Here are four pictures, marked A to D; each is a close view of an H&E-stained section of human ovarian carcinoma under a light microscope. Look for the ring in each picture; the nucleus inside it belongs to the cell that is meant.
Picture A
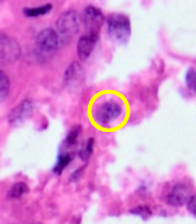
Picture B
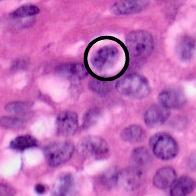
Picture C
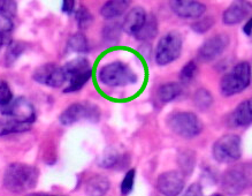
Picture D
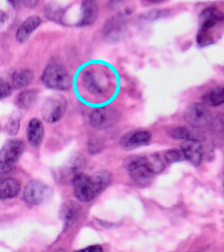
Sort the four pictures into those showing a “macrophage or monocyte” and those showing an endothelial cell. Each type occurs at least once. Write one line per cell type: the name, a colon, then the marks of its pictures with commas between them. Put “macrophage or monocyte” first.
macrophage or monocyte: A, B, C
endothelial cell: D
